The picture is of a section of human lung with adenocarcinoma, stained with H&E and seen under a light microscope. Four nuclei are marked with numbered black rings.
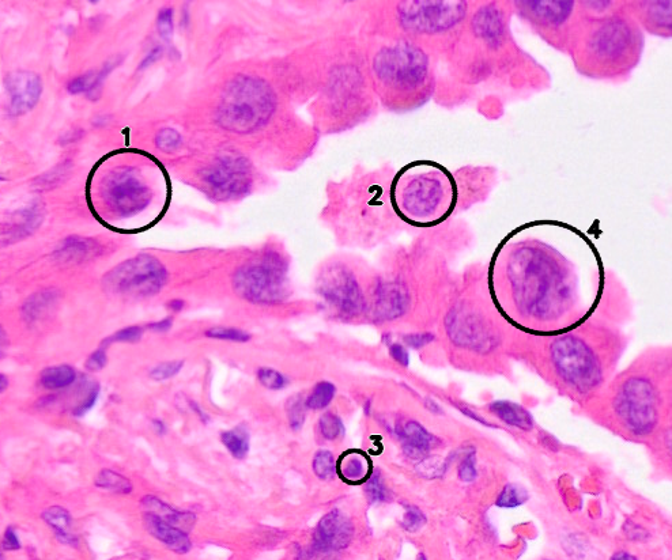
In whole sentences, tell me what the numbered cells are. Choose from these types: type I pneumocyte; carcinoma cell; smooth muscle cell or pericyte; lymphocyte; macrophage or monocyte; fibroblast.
Cells 1 and 4 are carcinoma cells. Cell 2 is a macrophage or monocyte. Cell 3 is a lymphocyte.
